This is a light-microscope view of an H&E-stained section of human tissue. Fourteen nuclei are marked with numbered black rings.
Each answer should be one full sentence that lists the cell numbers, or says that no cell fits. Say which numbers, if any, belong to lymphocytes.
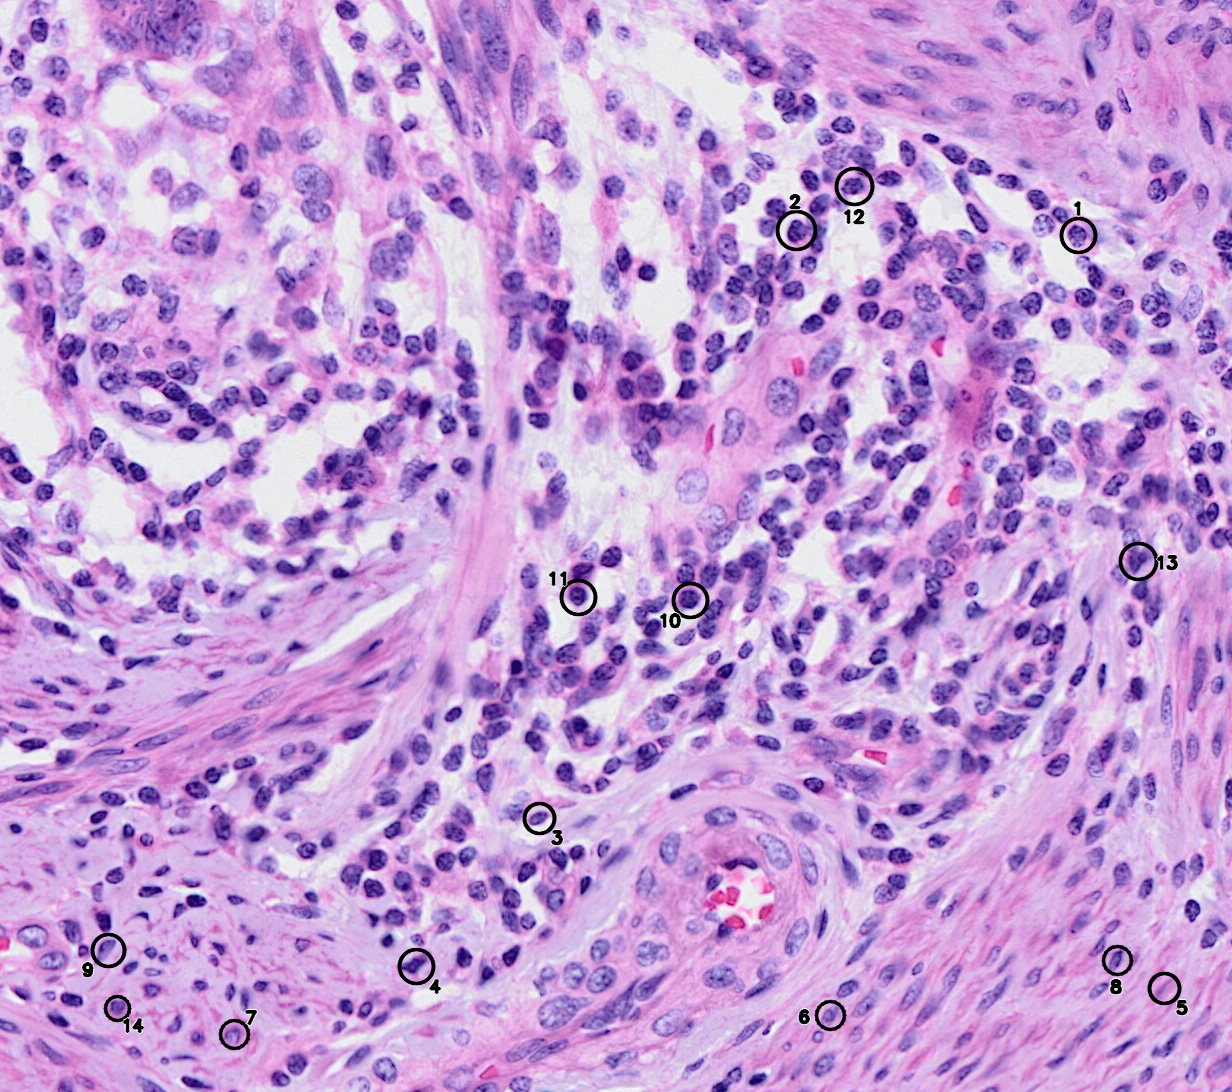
In this section, the cells labelled 1, 2, 3, 4, 10, 11, 12 and 13 are lymphocytes.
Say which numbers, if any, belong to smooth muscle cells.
Cells 5, 6, 7, 8 and 14 share one type; they are smooth muscle cells.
